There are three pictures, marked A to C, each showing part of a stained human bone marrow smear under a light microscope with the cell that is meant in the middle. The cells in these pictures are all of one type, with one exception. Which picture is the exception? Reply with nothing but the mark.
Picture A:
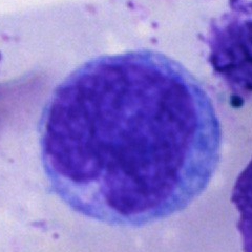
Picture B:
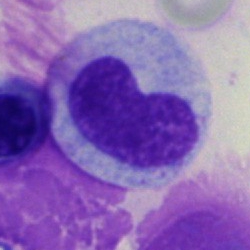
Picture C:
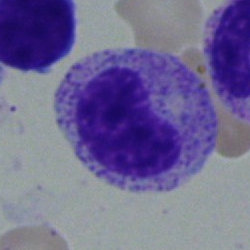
C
